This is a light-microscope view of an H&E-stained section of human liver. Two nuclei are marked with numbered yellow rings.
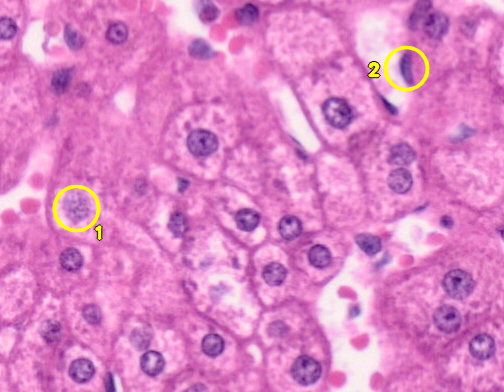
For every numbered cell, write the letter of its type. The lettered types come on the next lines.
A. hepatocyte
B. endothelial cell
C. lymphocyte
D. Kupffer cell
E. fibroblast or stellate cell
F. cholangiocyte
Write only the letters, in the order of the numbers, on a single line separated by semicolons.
A; E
